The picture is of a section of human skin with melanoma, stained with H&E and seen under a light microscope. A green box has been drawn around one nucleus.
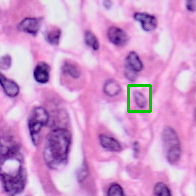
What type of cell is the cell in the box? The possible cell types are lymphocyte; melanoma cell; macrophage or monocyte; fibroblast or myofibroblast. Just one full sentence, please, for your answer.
Among the cells in this section, the cell in the box is a macrophage or monocyte.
